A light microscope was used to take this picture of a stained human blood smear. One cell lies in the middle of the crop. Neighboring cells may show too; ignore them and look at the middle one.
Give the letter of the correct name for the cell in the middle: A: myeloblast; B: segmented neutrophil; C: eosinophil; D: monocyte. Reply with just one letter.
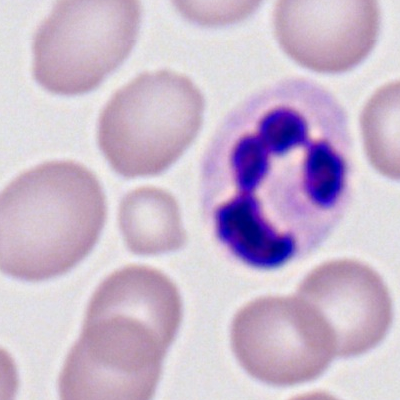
B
